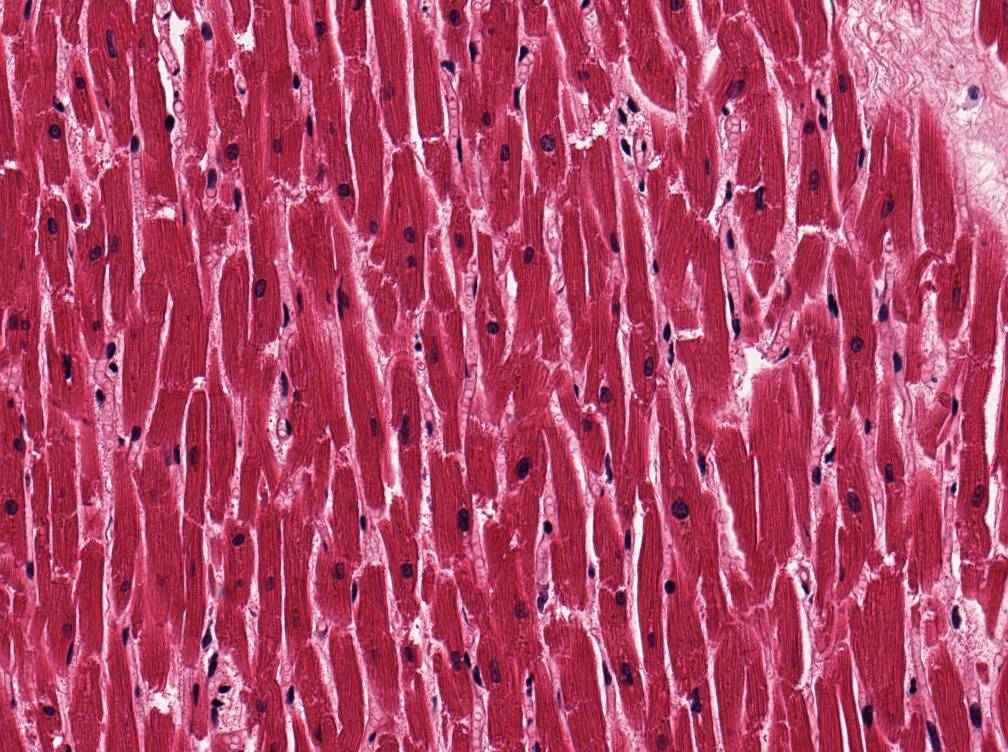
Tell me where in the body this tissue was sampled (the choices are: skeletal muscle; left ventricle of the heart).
left ventricle of the heart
